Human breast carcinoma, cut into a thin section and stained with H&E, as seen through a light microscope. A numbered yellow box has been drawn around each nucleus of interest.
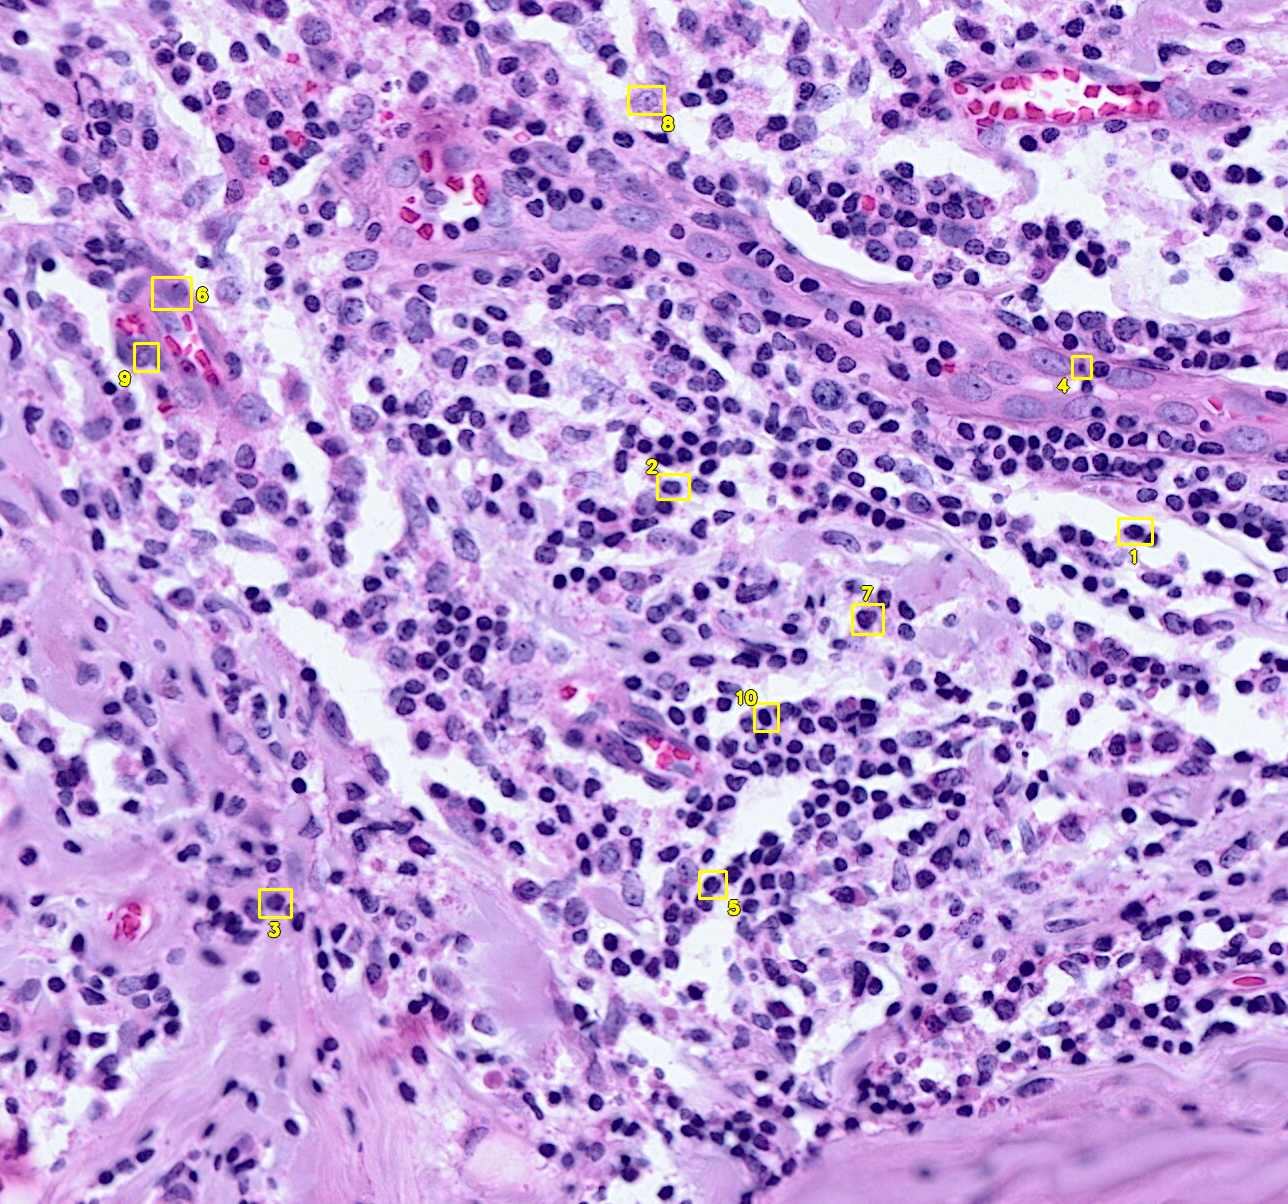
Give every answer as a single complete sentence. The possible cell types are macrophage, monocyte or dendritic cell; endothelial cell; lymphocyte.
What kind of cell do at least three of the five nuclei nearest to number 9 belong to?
Endothelial cells make up most of the five nuclei closest to number 9.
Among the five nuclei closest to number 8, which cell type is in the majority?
Lymphocytes make up most of the five nuclei closest to number 8.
